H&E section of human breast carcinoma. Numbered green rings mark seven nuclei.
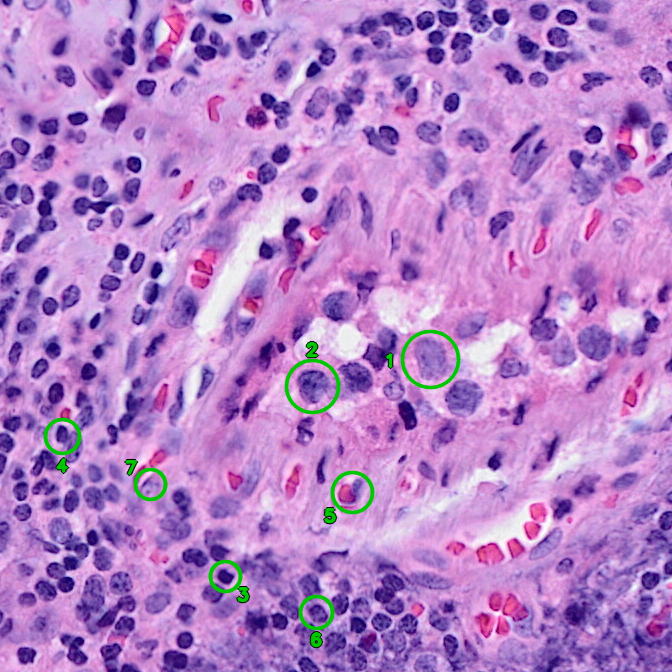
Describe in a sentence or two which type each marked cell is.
Cell 1 is a carcinoma cell, cell 2 is a carcinoma cell, cell 3 is a lymphocyte, cell 4 is a lymphocyte, cell 5 is an endothelial cell, cell 6 is a lymphocyte and cell 7 is an endothelial cell.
